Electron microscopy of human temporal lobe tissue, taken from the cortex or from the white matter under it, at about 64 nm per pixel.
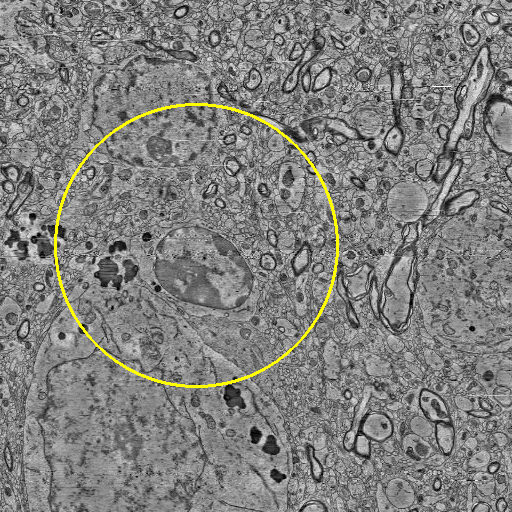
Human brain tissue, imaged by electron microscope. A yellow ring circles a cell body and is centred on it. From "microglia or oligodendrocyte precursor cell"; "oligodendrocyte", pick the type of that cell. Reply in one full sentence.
The cell body at the centre of the yellow ring belongs to a microglial cell or oligodendrocyte precursor cell.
